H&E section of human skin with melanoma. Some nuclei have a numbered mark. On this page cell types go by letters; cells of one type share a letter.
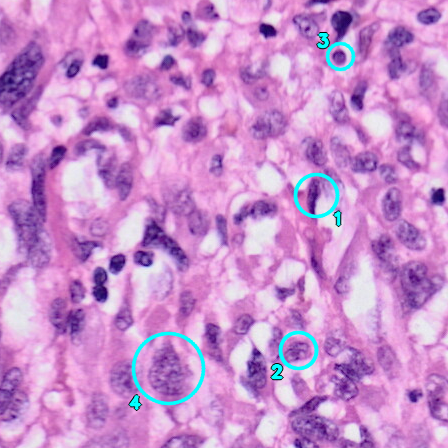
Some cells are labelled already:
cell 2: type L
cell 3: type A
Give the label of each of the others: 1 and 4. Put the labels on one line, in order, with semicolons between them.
type L; type L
